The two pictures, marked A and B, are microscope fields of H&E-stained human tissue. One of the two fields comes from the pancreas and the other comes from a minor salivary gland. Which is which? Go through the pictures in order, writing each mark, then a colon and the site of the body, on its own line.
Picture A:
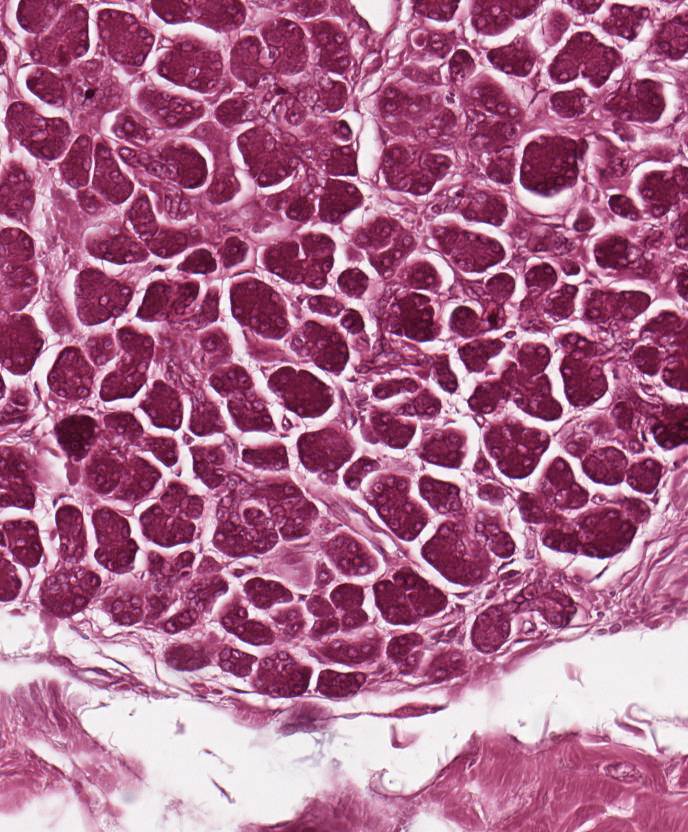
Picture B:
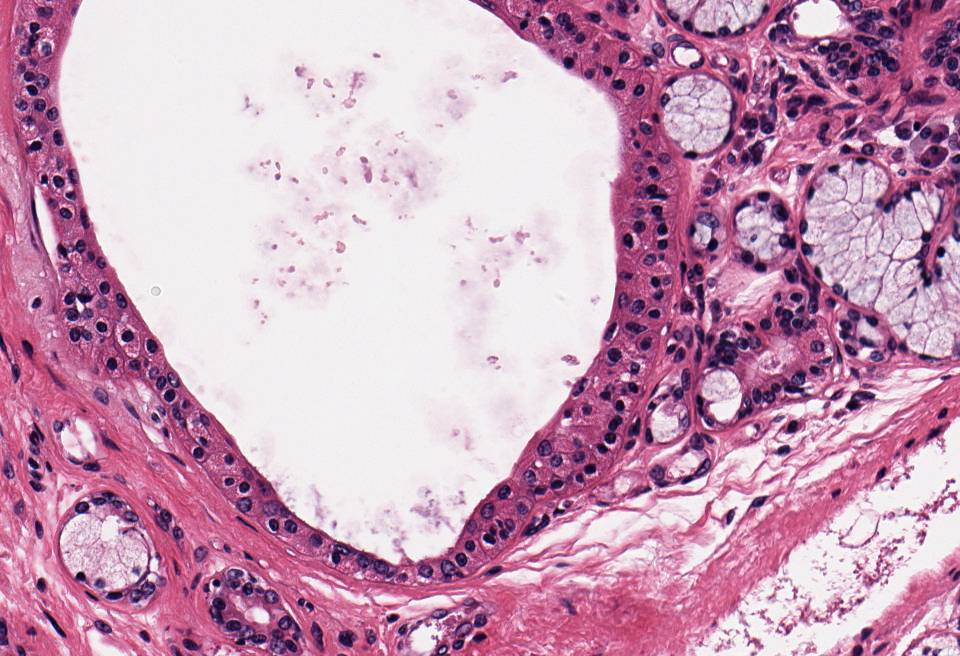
A: pancreas
B: minor salivary gland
